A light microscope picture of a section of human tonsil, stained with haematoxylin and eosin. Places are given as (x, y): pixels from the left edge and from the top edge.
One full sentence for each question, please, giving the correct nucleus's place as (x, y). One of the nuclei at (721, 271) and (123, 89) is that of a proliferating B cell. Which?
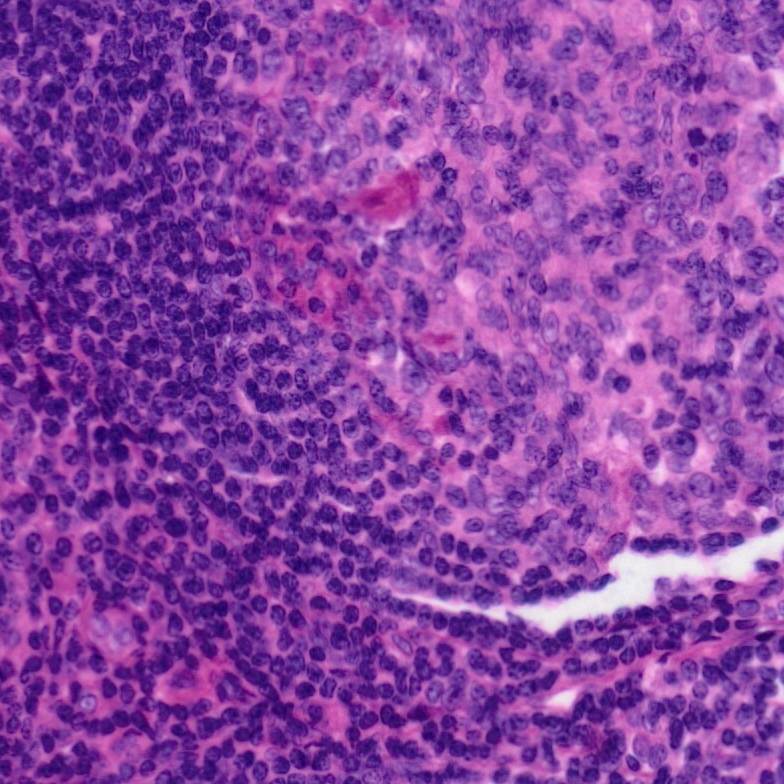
The nucleus contained in a proliferating B cell is the one at (721, 271).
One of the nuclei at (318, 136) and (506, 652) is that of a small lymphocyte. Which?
It is the nucleus at (506, 652) that belongs to a small lymphocyte.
